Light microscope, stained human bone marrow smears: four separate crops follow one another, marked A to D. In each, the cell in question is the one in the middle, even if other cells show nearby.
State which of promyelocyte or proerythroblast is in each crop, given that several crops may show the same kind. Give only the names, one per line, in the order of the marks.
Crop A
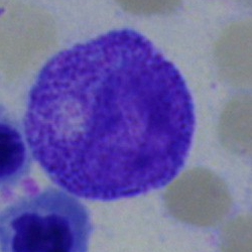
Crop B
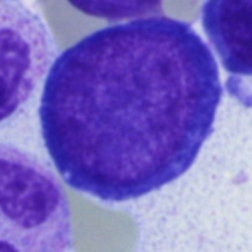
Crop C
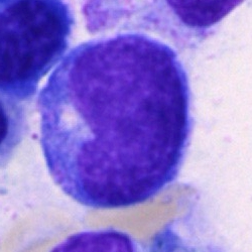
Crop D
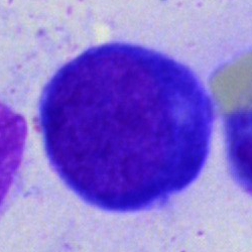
promyelocyte
proerythroblast
promyelocyte
proerythroblast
